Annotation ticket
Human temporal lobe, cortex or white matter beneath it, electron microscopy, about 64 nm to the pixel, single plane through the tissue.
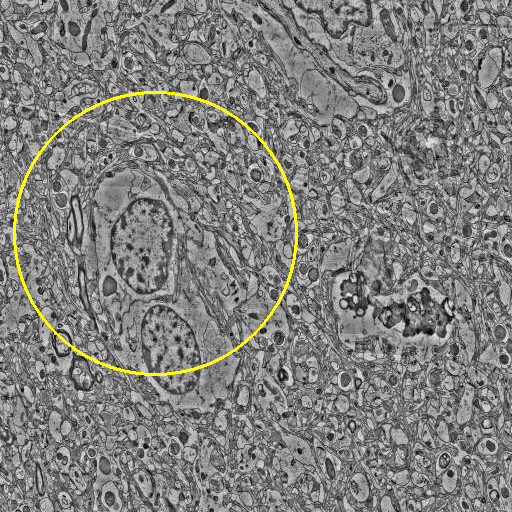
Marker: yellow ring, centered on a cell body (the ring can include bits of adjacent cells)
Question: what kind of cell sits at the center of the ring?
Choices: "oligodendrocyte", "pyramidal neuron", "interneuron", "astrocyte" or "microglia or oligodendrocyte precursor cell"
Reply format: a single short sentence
The ring is centered on an astrocyte.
